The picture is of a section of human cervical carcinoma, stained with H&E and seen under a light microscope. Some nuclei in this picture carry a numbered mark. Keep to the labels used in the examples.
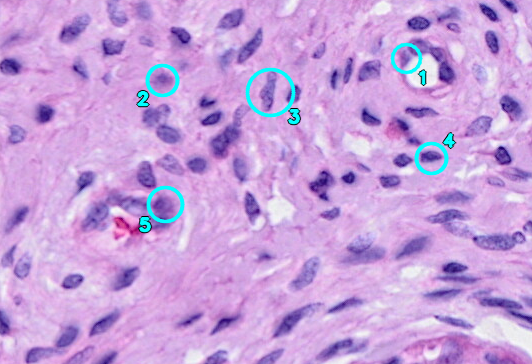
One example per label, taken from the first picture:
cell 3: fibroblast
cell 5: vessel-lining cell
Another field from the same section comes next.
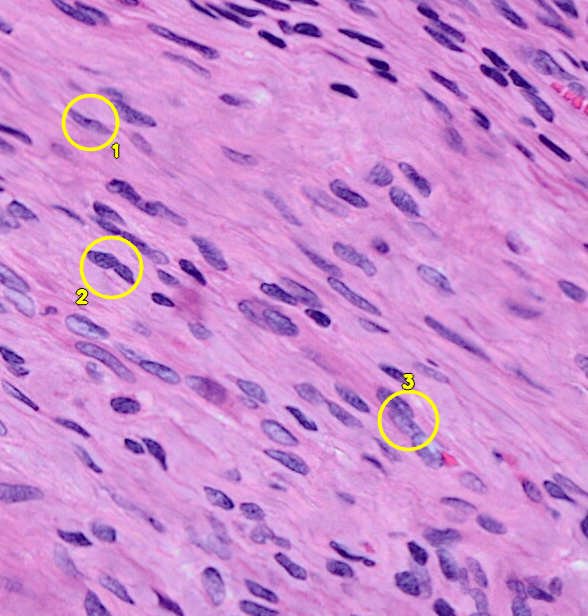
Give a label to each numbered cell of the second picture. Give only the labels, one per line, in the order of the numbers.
fibroblast
fibroblast
vessel-lining cell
